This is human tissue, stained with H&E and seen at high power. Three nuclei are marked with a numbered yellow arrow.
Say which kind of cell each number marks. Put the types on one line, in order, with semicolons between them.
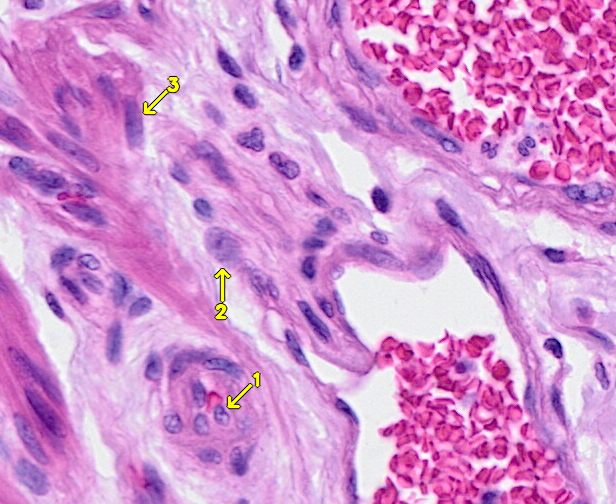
endothelial cell; fibroblast; smooth muscle cell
